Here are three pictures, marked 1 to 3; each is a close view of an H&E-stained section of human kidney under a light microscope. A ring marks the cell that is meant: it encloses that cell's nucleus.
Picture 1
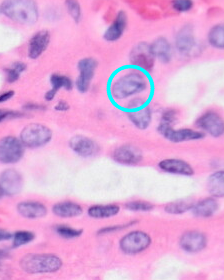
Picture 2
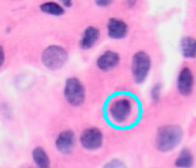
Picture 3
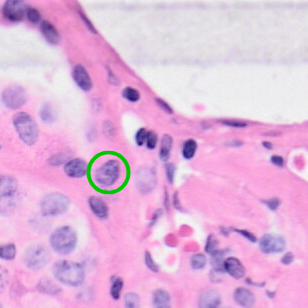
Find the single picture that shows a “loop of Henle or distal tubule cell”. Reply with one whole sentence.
Picture 2 shows the “loop of Henle or distal tubule cell”.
